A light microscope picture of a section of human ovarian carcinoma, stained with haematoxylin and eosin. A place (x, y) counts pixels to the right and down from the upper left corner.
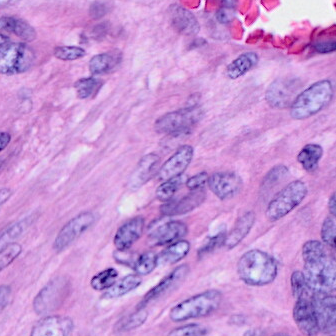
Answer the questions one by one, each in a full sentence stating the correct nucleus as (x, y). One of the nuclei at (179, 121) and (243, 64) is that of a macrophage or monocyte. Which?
It is the nucleus at (243, 64), not the other one, that belongs to a macrophage or monocyte.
